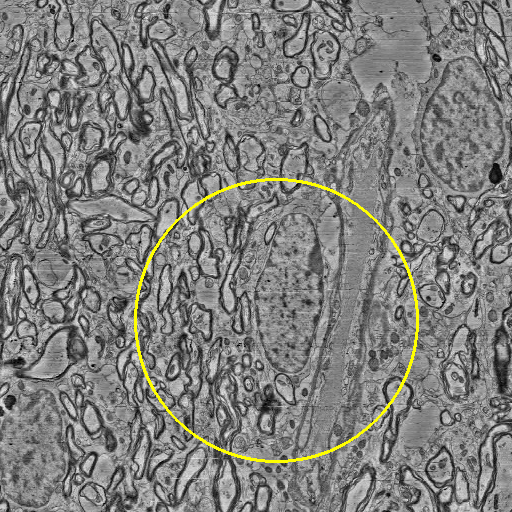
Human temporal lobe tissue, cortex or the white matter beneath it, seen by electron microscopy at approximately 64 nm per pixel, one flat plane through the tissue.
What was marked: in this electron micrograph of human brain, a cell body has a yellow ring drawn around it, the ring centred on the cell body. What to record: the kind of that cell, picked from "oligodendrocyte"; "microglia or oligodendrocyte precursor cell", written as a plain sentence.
The centred cell is a microglial cell or oligodendrocyte precursor cell.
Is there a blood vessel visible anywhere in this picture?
Yes, one is visible.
